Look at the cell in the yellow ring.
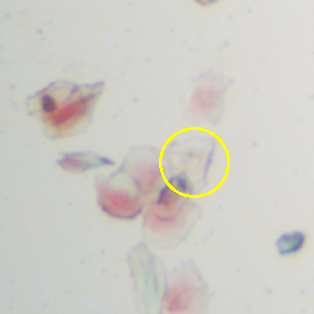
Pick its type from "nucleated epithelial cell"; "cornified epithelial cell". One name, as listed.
cornified epithelial cell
